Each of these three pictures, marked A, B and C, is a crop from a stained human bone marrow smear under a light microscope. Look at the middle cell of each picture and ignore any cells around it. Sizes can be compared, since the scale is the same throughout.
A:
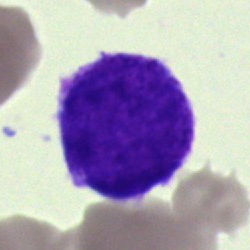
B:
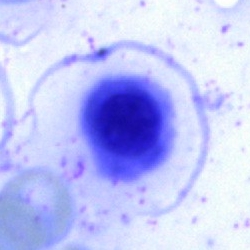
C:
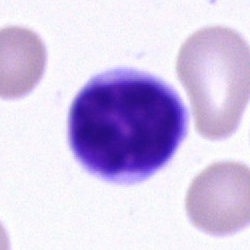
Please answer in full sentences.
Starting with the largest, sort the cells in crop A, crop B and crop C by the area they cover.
From the largest down, the order is A, C, B.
